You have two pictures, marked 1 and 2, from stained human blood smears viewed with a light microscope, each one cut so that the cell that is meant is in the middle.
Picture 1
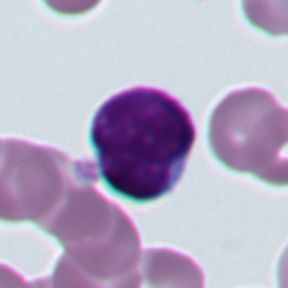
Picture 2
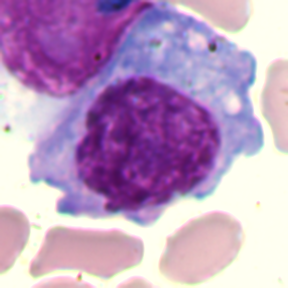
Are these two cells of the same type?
no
